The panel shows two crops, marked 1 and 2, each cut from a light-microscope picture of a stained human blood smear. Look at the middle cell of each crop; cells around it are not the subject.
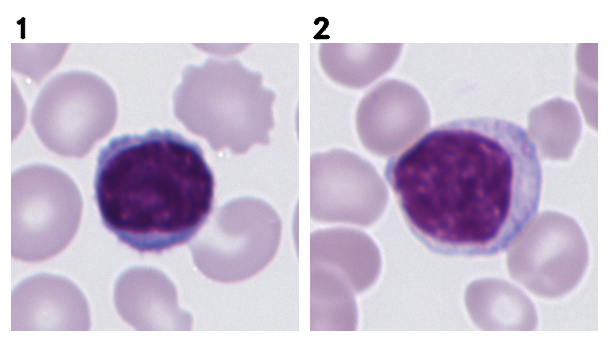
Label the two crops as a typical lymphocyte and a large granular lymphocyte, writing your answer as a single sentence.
Crop 2 is a large granular lymphocyte, while crop 1 is a typical lymphocyte.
